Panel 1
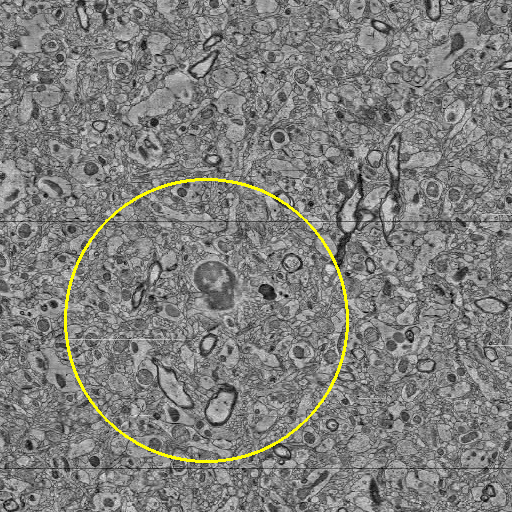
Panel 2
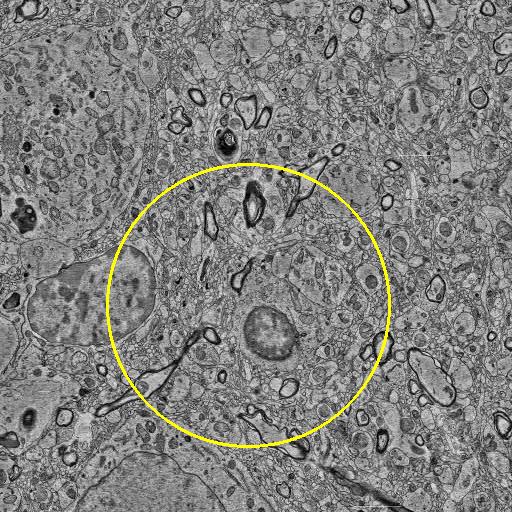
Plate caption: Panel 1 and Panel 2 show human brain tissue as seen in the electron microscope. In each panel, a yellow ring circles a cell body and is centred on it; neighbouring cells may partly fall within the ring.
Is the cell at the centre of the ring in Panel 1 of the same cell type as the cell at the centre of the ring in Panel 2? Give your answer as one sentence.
No, the two cells are of two types.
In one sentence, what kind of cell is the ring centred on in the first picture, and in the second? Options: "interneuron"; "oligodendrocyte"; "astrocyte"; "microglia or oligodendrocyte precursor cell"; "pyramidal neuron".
The cell at the centre of the second ring is an oligodendrocyte; the first ring's cell is a microglial cell or oligodendrocyte precursor cell.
